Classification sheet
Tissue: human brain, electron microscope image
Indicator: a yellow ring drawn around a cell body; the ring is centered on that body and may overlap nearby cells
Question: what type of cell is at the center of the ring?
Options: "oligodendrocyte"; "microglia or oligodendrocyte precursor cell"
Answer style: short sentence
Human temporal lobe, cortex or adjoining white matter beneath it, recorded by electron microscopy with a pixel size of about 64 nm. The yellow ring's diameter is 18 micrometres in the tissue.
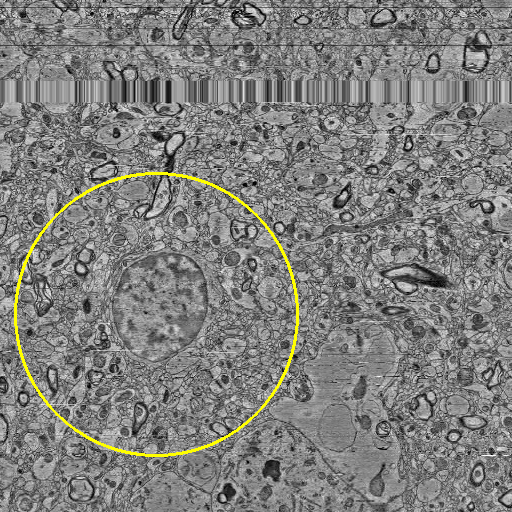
At the ring's center is an oligodendrocyte.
